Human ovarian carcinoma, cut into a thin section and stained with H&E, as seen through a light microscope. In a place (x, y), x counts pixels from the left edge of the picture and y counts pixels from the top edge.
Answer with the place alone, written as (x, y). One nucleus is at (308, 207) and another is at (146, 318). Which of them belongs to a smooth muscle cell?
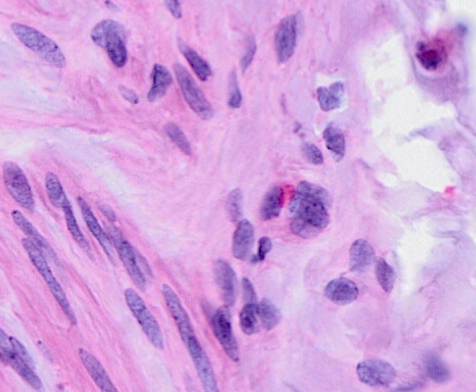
(146, 318)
